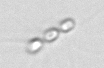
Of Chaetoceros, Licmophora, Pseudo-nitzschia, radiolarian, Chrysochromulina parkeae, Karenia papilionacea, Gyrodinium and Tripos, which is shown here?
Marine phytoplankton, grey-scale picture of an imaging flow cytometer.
Chaetoceros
